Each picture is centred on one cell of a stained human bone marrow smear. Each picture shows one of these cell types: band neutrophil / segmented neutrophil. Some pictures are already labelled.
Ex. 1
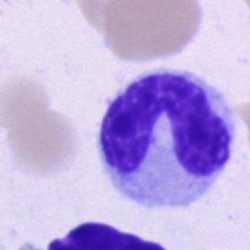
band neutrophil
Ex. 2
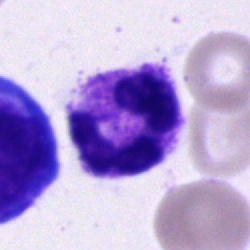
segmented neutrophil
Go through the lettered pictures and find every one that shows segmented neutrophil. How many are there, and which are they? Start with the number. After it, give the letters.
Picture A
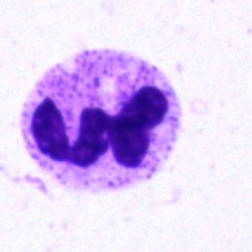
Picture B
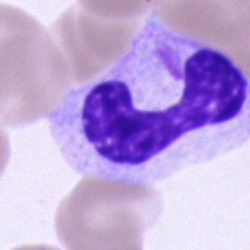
Count: 1 (A)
